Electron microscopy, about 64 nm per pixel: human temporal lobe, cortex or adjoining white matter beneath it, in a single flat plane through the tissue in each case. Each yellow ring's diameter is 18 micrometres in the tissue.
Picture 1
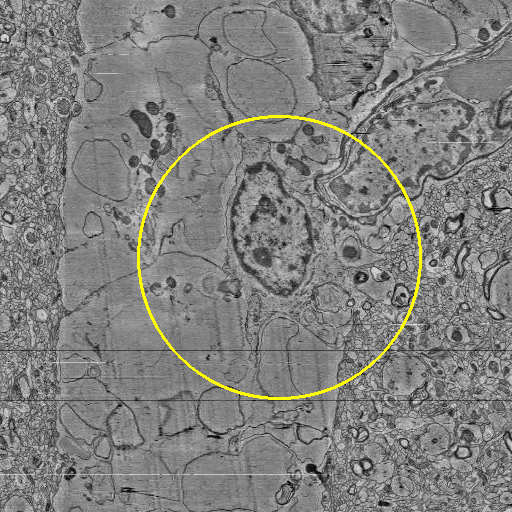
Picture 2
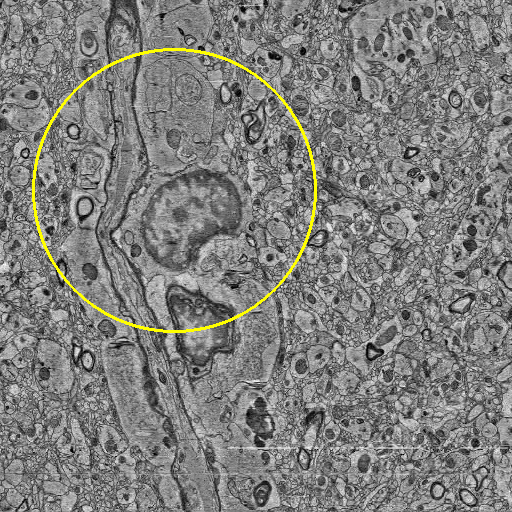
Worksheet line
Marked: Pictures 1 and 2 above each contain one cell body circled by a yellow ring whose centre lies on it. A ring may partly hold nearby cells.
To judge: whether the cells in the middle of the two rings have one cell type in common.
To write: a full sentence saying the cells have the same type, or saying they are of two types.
The cells in the middle of the rings in Picture 1 and Picture 2 are of two types.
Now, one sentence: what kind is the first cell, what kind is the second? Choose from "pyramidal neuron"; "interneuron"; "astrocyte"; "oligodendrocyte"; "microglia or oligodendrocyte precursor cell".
The first picture has a microglial cell or oligodendrocyte precursor cell at its ring centre, and the second has an oligodendrocyte.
